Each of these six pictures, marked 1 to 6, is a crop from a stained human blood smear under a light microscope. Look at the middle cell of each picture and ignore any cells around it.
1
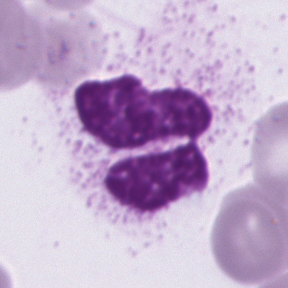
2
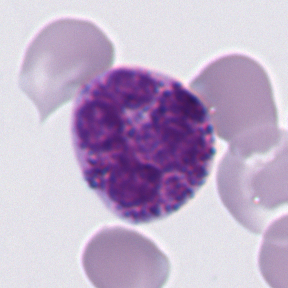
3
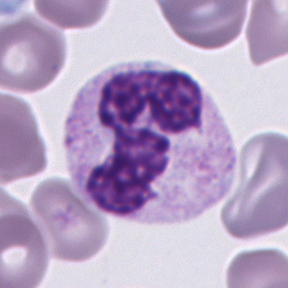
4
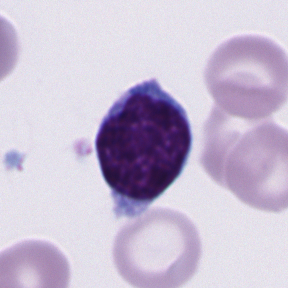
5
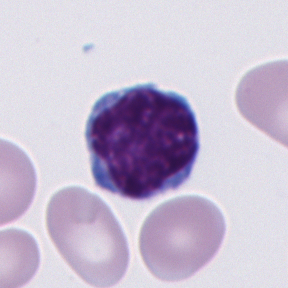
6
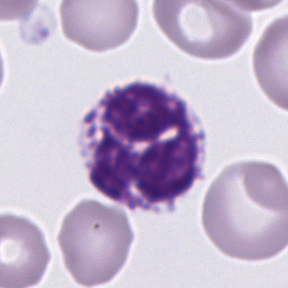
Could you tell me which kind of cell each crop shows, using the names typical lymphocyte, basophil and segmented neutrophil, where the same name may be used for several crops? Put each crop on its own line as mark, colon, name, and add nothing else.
1: segmented neutrophil
2: basophil
3: segmented neutrophil
4: typical lymphocyte
5: typical lymphocyte
6: basophil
